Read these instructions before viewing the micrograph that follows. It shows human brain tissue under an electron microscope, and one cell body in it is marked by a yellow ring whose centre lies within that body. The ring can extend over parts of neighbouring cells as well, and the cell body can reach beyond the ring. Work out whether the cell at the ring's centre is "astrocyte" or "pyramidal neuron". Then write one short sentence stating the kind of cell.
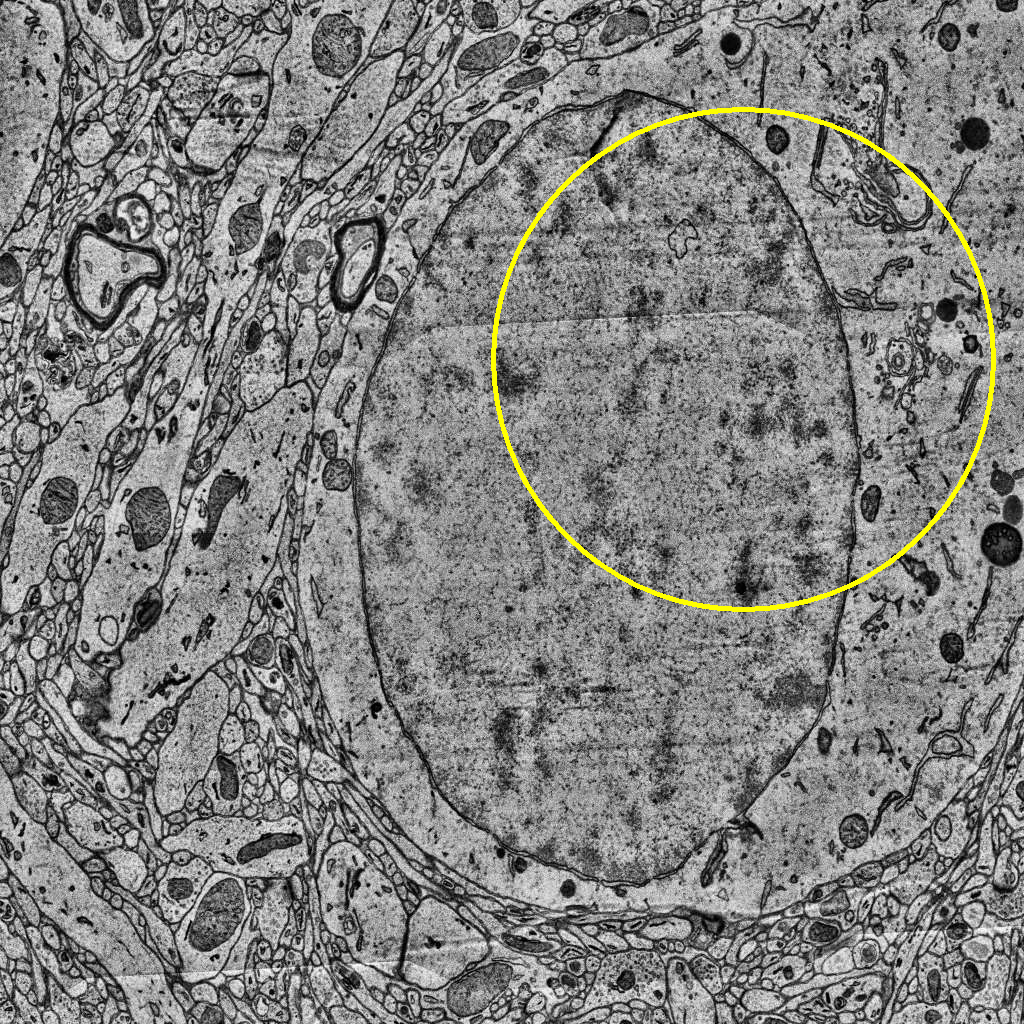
The cell at the ring's centre is a pyramidal neuron.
